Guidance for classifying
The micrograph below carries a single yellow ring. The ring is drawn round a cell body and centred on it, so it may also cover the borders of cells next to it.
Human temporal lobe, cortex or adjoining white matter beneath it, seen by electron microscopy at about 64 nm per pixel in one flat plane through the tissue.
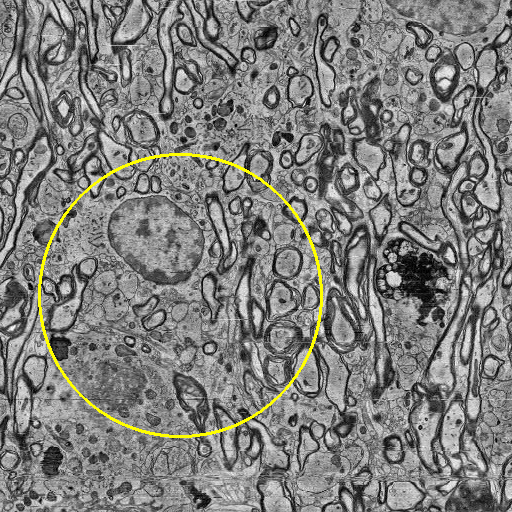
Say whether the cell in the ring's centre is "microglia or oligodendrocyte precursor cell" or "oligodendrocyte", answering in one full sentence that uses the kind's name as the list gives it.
Within the yellow ring, a microglial cell or oligodendrocyte precursor cell is the cell whose body sits at the centre.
